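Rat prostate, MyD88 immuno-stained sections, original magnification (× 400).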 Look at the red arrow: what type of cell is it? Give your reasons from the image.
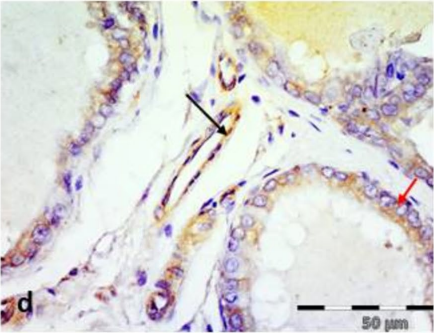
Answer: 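Acinar cells. The arrow points to cells in the single layer lining a gland lumen. The cells have round nuclei and light brown cytoplasm.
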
